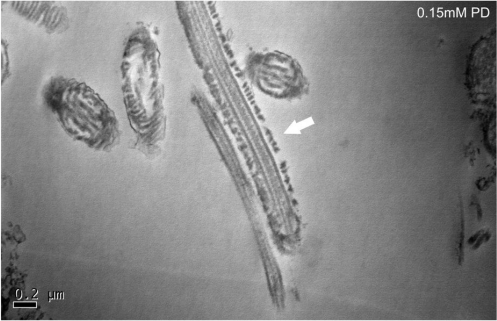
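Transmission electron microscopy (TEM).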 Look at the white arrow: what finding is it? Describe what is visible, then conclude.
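A tail cut lengthwise shows its longitudinal fibres. No continuous smooth membrane lines the tail at the arrow; the outer edge is ragged.
A missing tail membrane.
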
